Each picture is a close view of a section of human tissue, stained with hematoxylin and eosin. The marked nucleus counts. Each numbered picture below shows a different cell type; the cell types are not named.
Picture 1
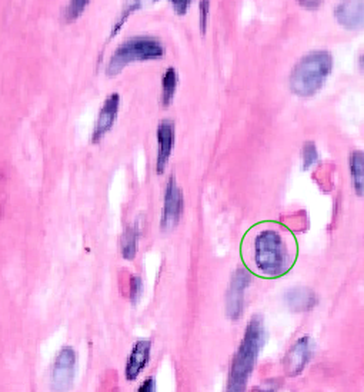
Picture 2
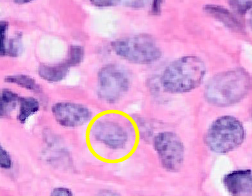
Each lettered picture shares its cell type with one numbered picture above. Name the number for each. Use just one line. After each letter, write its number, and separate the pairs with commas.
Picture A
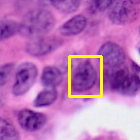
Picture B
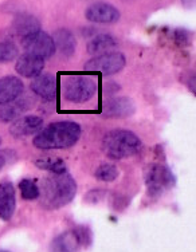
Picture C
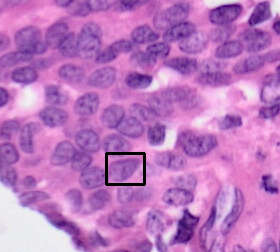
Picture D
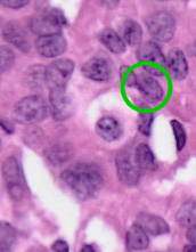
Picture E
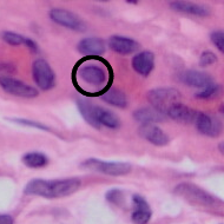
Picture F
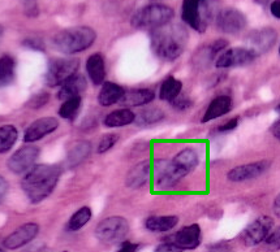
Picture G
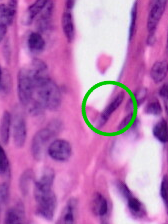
A 2, B 2, C 2, D 2, E 1, F 1, G 1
